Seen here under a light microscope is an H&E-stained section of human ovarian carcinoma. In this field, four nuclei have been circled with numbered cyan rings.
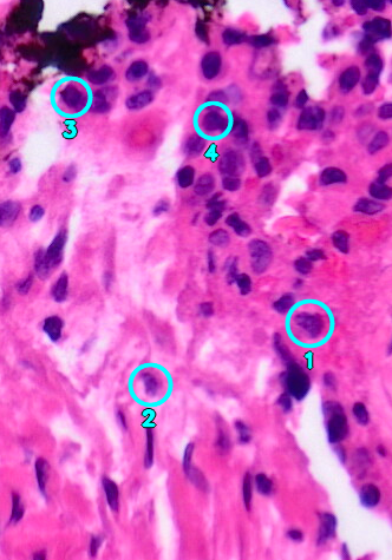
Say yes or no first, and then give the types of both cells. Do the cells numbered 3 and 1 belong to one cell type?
No, cell 3 is a carcinoma cell and cell 1 is a macrophage or monocyte.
